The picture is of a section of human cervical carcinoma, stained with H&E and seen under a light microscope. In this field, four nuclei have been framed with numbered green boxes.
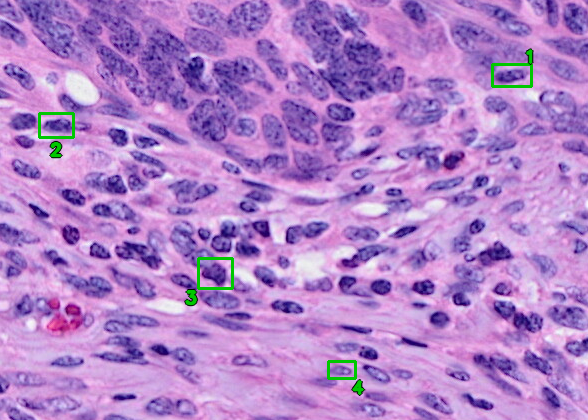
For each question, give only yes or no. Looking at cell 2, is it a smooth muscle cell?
no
